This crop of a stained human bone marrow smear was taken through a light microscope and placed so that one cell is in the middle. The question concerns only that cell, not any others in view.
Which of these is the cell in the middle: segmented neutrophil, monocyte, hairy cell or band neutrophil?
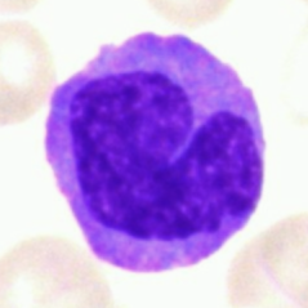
monocyte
